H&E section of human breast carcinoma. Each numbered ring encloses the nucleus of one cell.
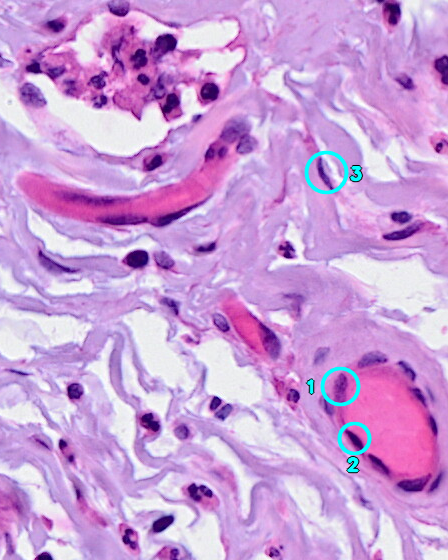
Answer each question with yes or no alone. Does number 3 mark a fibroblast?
yes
